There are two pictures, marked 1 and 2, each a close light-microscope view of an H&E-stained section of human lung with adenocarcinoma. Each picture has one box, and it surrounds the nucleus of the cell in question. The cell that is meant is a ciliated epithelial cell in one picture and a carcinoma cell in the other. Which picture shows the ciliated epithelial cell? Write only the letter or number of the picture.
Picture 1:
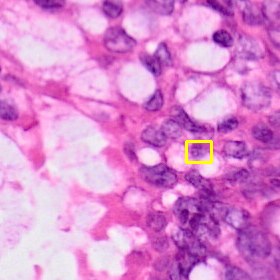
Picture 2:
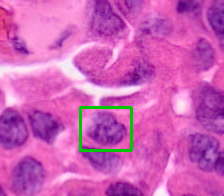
1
